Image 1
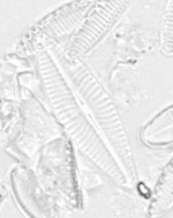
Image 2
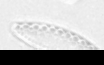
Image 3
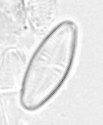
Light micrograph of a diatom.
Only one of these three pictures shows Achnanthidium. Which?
Picture 3.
